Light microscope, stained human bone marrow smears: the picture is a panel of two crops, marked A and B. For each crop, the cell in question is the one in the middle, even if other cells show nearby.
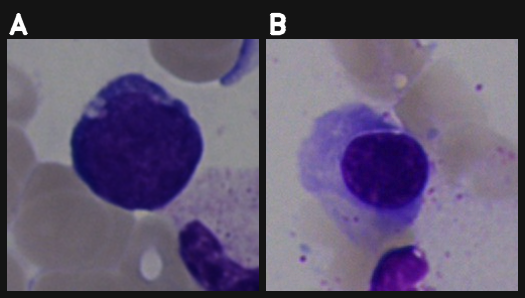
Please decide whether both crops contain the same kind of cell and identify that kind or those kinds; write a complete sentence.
No, the correct reading is a blast in crop A and an erythroblast in crop B.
